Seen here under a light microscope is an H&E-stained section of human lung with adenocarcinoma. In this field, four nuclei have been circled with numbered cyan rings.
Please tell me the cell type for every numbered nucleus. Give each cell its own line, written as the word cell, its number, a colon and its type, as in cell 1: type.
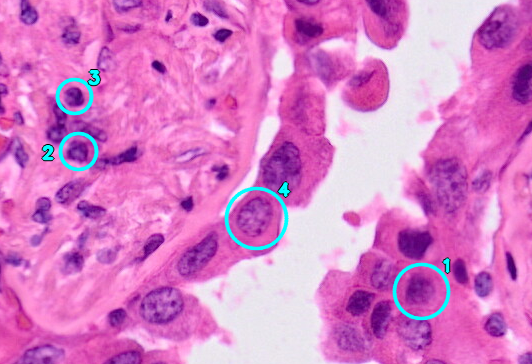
cell 1: carcinoma cell
cell 2: plasma cell
cell 3: lymphocyte
cell 4: carcinoma cell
